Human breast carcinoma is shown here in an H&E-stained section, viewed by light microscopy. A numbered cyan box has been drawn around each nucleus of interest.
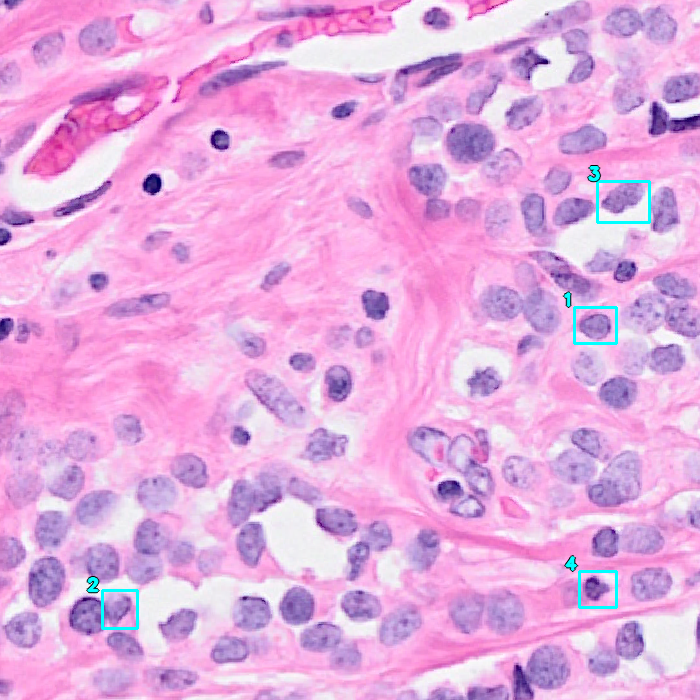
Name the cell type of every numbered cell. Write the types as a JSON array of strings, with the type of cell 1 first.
["carcinoma cell", "carcinoma cell", "carcinoma cell", "lymphocyte"]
